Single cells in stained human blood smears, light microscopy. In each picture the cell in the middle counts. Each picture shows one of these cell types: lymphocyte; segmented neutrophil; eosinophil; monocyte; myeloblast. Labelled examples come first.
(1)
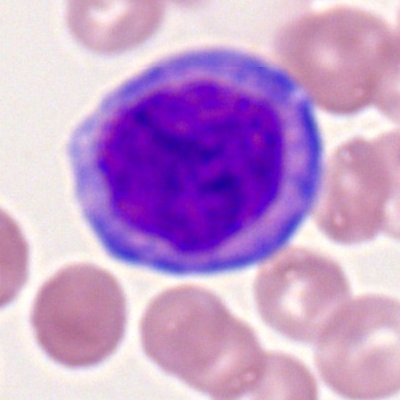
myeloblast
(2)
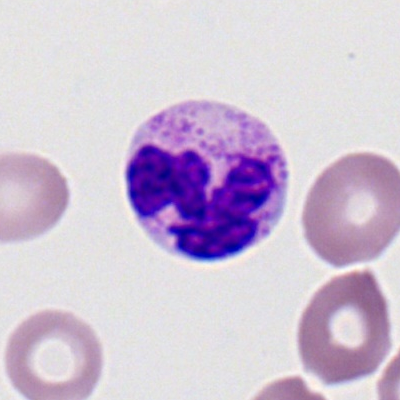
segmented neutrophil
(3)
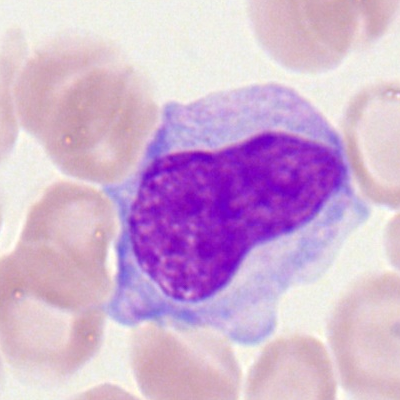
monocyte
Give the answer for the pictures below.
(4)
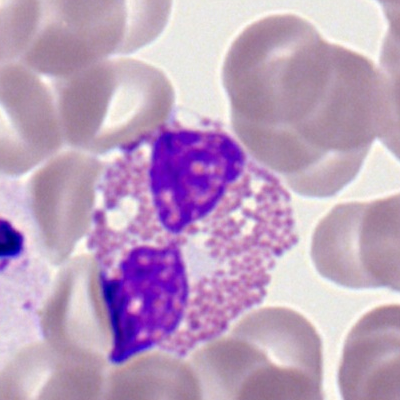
eosinophil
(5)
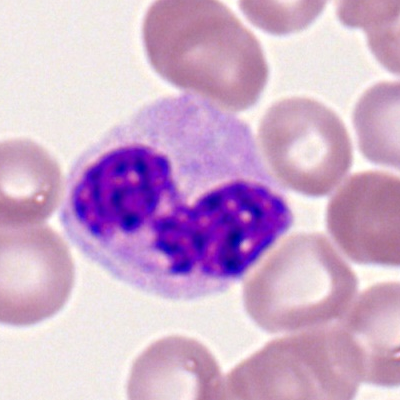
segmented neutrophil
